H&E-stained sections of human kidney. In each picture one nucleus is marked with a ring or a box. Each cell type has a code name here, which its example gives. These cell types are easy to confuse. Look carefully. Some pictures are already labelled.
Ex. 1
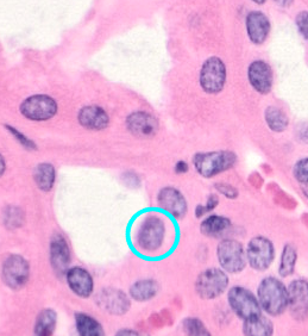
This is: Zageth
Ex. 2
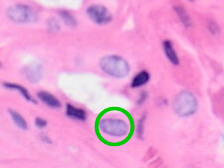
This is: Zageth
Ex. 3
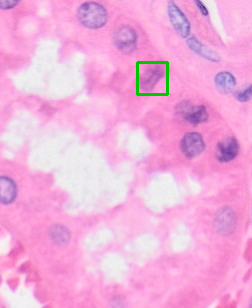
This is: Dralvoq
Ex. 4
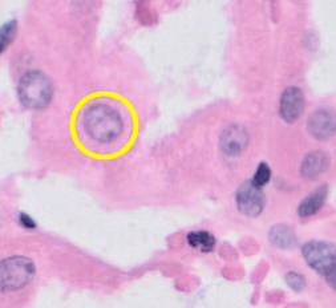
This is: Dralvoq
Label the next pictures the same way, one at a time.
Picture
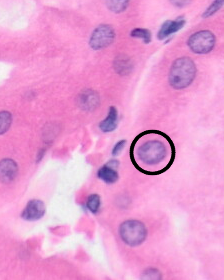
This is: Dralvoq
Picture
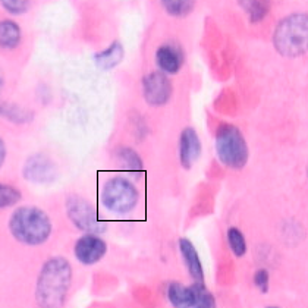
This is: Zageth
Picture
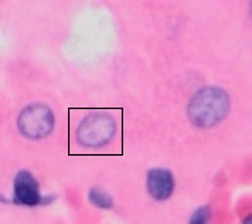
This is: Dralvoq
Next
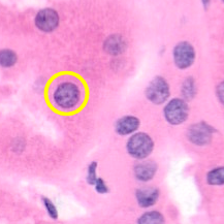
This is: Dralvoq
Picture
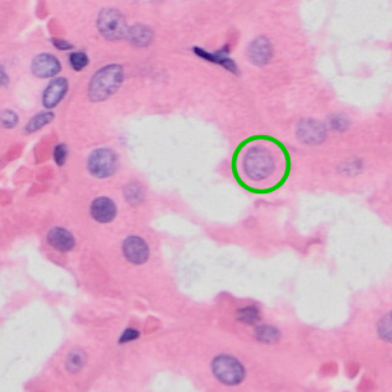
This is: Dralvoq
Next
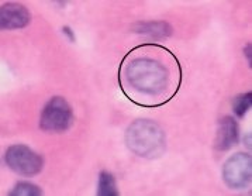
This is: Dralvoq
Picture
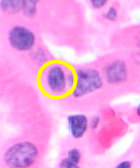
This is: Zageth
